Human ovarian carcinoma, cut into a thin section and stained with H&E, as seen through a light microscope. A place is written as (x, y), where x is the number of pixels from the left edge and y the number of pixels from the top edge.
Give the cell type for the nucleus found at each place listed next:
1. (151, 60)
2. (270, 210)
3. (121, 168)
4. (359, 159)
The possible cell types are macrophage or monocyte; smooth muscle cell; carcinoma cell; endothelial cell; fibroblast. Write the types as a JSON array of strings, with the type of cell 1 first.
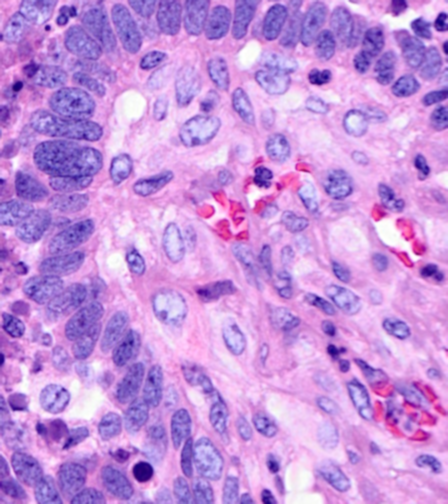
["macrophage or monocyte", "endothelial cell", "fibroblast", "fibroblast"]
